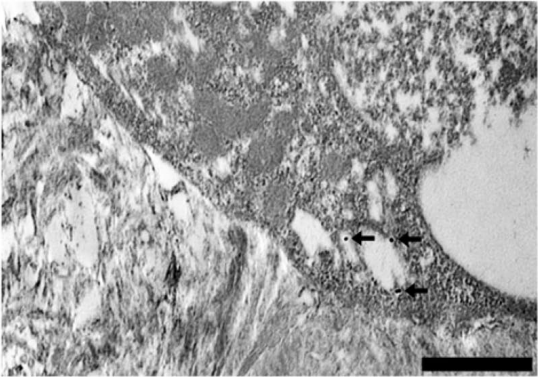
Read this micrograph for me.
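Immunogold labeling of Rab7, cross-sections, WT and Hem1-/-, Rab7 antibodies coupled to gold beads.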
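This electron micrograph shows part of a bone-resorbing cell lying against bone. The lower left is taken up by a pale, streaky, fibrillar matrix with a fine, oriented texture, consistent with bone. A diagonal band of granular, electron-dense cytoplasm runs through the middle of the field. A large, round, clear vacuole bulges at the right edge. A few smaller clear spaces lie within the cytoplasm. Only a few small, round, black dots are seen, marked by arrows near a clear space. The cytoplasm shows little of the densely folded membrane seen in more active cells.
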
